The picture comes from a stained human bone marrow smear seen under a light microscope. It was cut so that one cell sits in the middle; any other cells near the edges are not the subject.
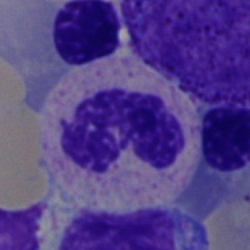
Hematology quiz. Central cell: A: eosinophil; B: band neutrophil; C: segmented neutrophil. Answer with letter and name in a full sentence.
Option C is right, the centrally situated cell being a segmented neutrophil.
